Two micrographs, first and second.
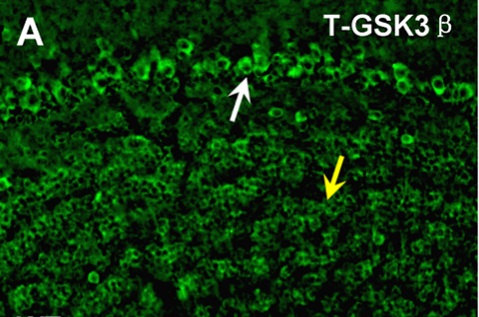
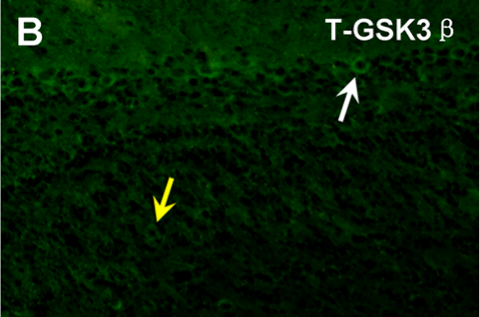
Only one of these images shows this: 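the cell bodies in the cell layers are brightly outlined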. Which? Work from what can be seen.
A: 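The first image. Second image: the tissue is dim, with only faint cell outlines. First image: many cell bodies in both the upper band and the deeper field are brightly outlined in green.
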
